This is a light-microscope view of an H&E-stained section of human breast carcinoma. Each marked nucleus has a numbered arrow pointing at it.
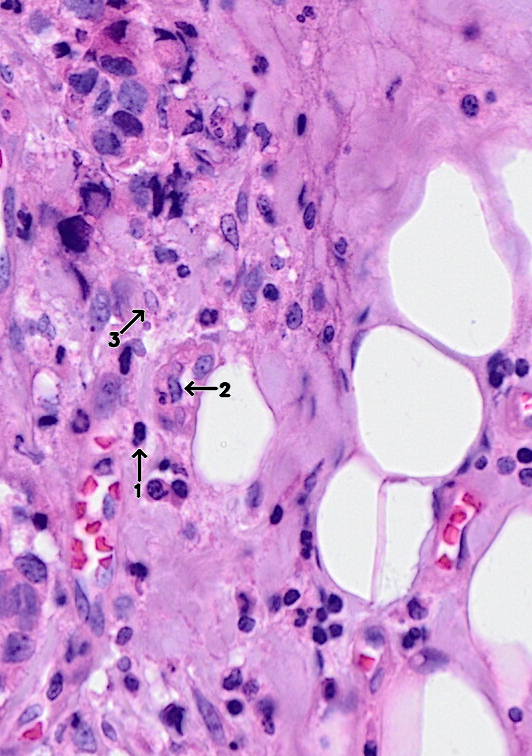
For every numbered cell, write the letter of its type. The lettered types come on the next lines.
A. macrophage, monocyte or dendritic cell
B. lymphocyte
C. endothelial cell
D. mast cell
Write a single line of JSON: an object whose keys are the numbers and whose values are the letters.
{"1": "B", "2": "C", "3": "A"}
